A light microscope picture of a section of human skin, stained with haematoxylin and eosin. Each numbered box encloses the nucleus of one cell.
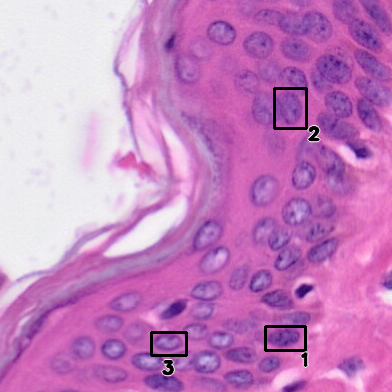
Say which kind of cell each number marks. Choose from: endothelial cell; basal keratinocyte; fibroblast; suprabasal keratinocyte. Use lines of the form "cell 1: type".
cell 1: basal keratinocyte
cell 2: suprabasal keratinocyte
cell 3: suprabasal keratinocyte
